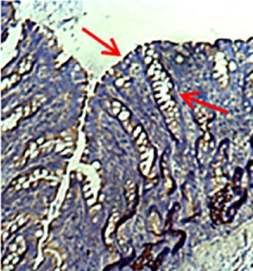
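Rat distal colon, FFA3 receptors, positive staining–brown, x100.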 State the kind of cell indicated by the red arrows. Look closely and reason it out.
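Surface and crypt enterocytes. One arrow points at the epithelial lining of the mucosal surface. Another arrow points at the epithelium lining a crypt. The crypts are lined by columnar epithelium with many pale goblet-cell vacuoles.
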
